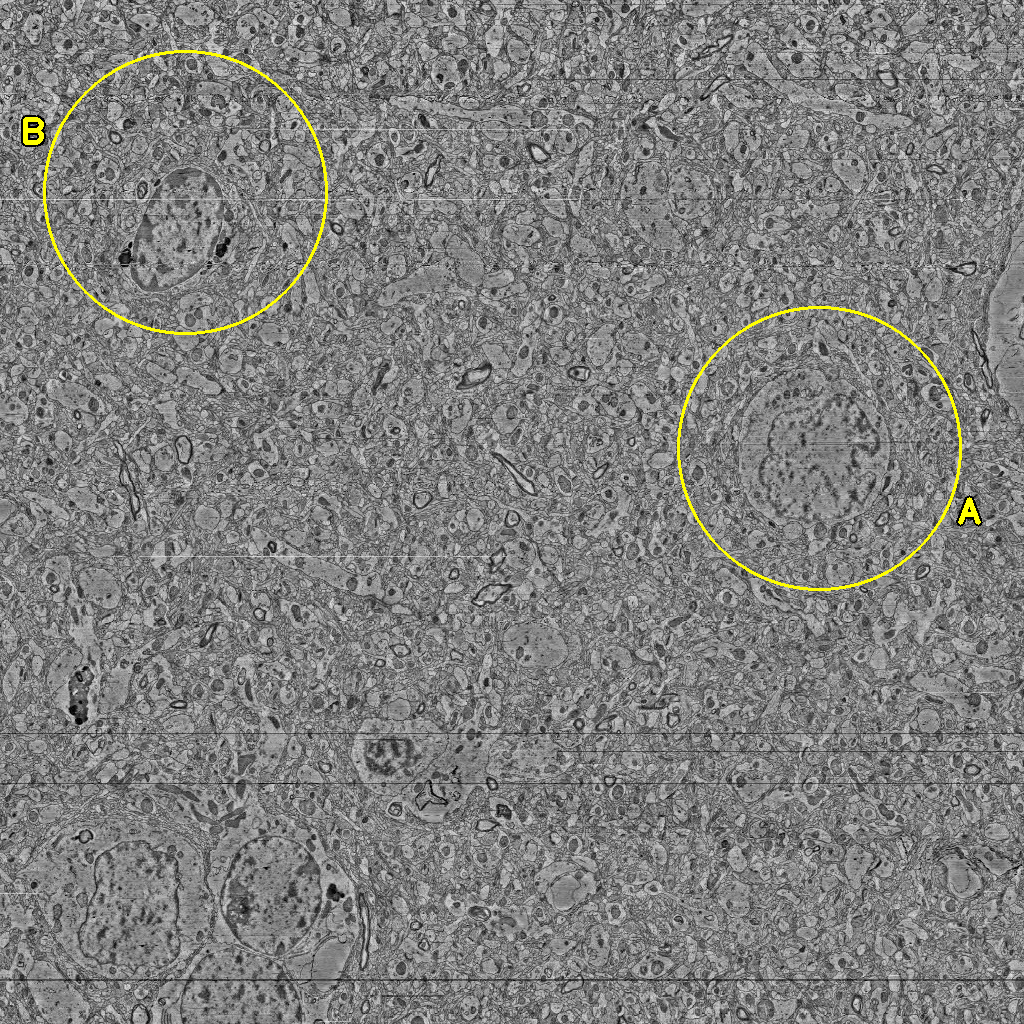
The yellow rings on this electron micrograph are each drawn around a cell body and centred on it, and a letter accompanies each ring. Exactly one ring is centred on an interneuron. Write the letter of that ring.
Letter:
A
